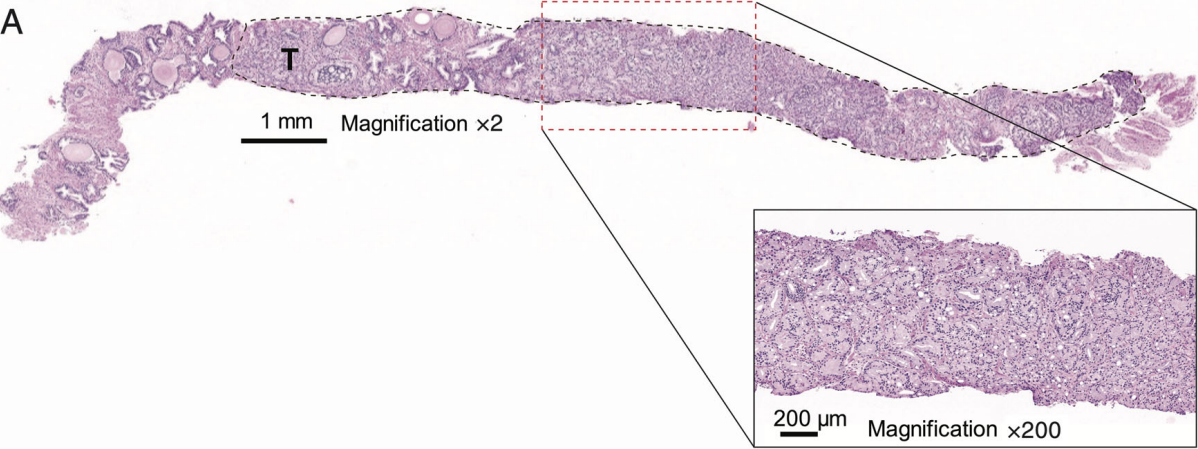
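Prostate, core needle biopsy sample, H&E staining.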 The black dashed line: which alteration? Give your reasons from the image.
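The outlined area is filled with crowded small glands and cords with little stroma between them. Outside the outline, at the left end, there are fewer, larger glands, some holding round pink secretions.
Conclusion: neoplastic cells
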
